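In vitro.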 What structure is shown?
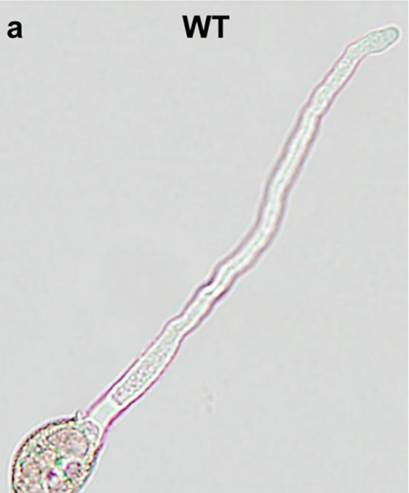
Pollen tubes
